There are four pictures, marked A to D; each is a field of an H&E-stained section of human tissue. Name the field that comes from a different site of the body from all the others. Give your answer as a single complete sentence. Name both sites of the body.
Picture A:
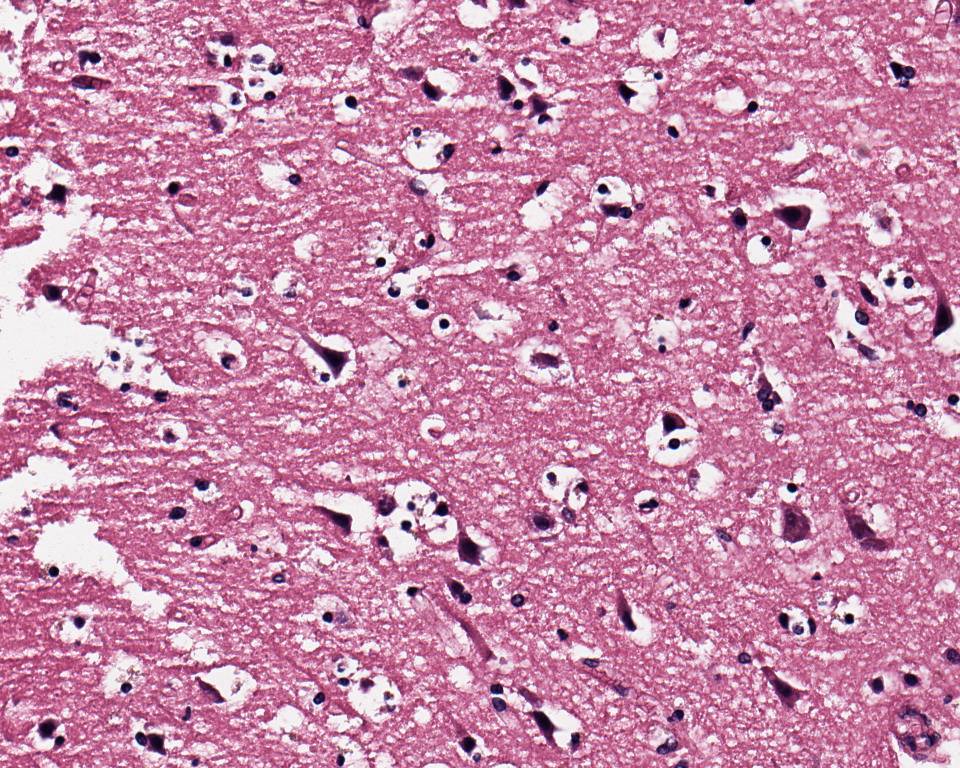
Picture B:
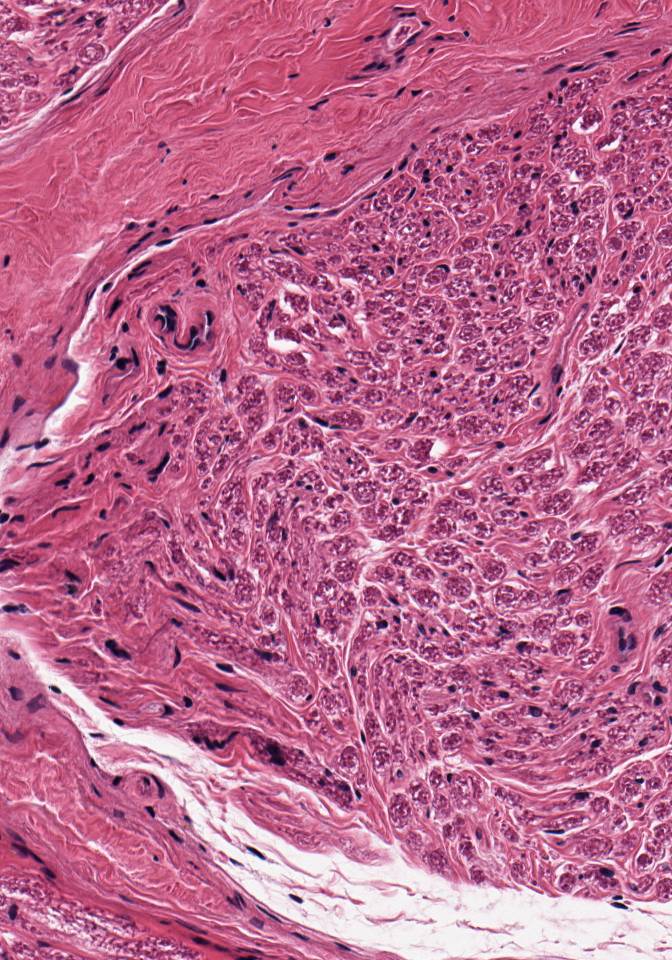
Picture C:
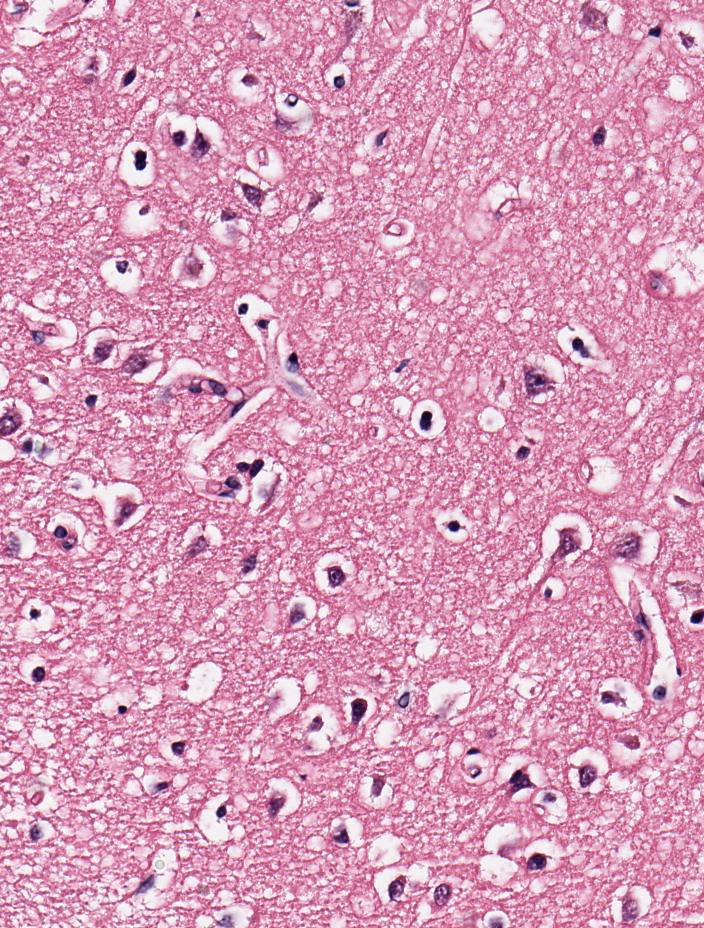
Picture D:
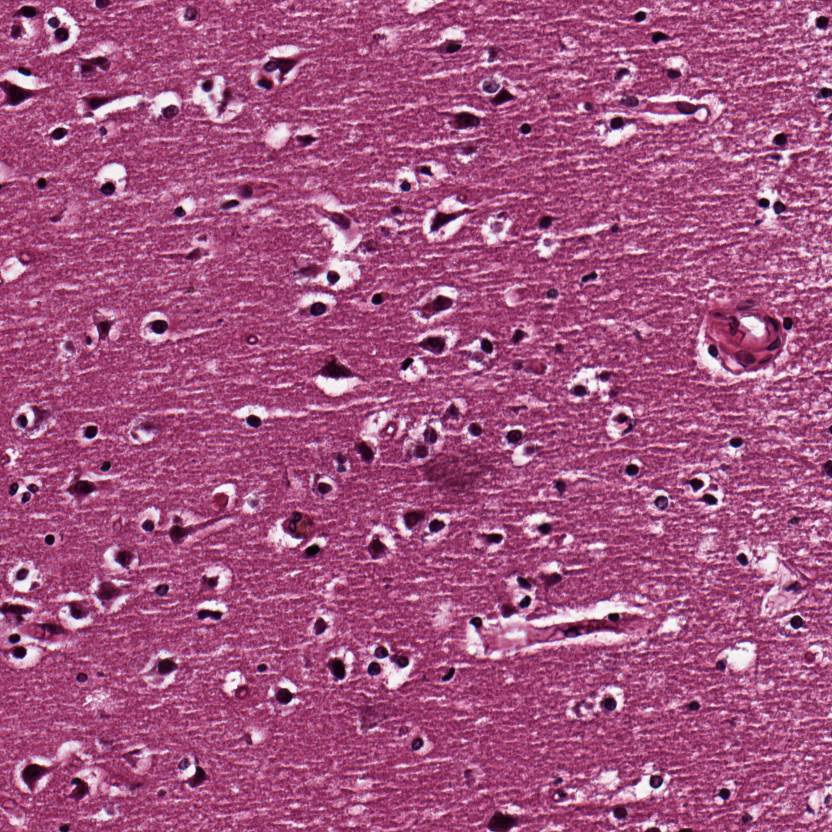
The others come from the cerebral cortex, but picture B comes from the tibial nerve.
